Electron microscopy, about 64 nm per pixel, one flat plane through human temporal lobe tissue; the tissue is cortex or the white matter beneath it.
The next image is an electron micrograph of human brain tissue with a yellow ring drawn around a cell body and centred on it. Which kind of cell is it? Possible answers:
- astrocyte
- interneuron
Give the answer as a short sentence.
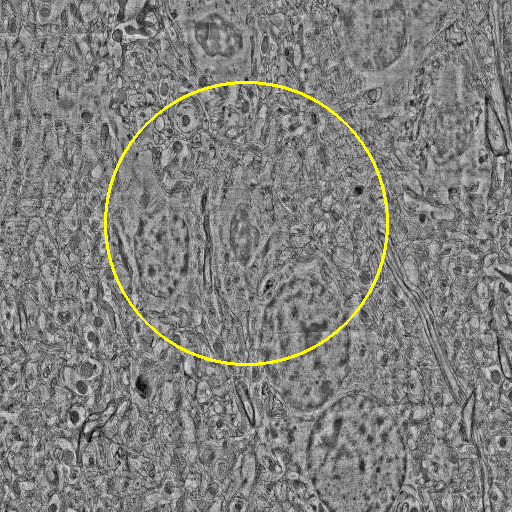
In the ring's centre is an astrocyte.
